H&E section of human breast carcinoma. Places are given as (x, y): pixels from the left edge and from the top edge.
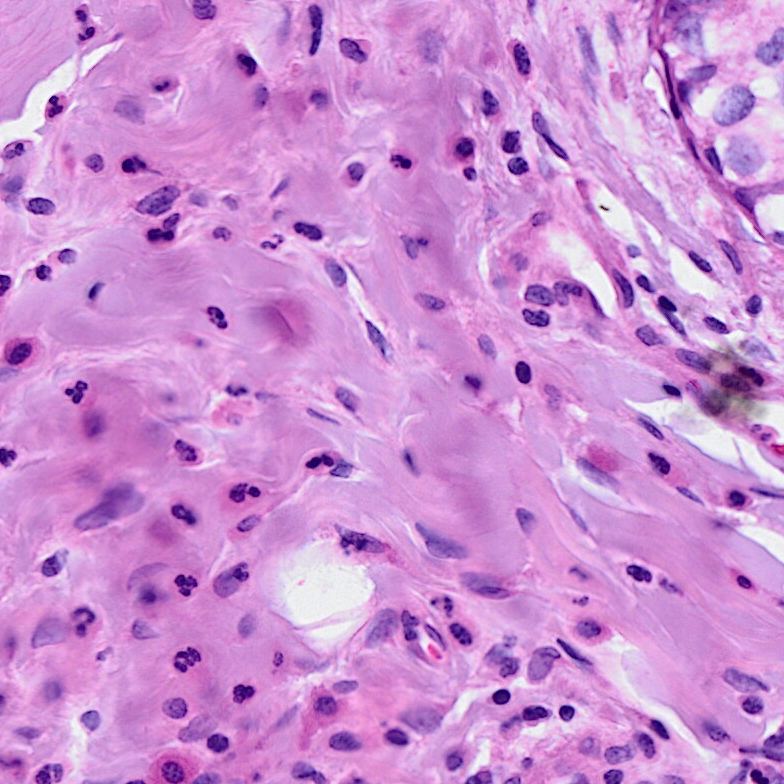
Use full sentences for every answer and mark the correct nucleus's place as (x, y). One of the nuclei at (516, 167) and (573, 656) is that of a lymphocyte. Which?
It is the nucleus at (516, 167), not the other one, that belongs to a lymphocyte.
